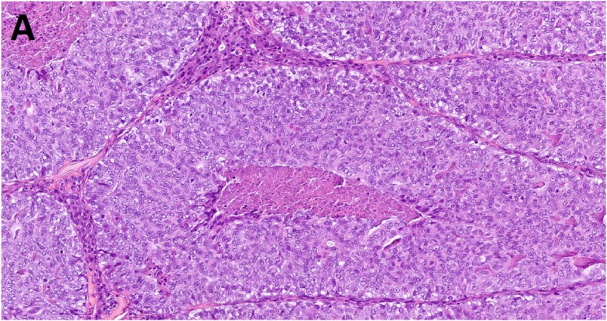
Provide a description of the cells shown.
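The tumor grows as large solid nests of crowded cells divided by thin fibrous septa. In the middle of one nest lies a patch of pink, acellular necrotic debris.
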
